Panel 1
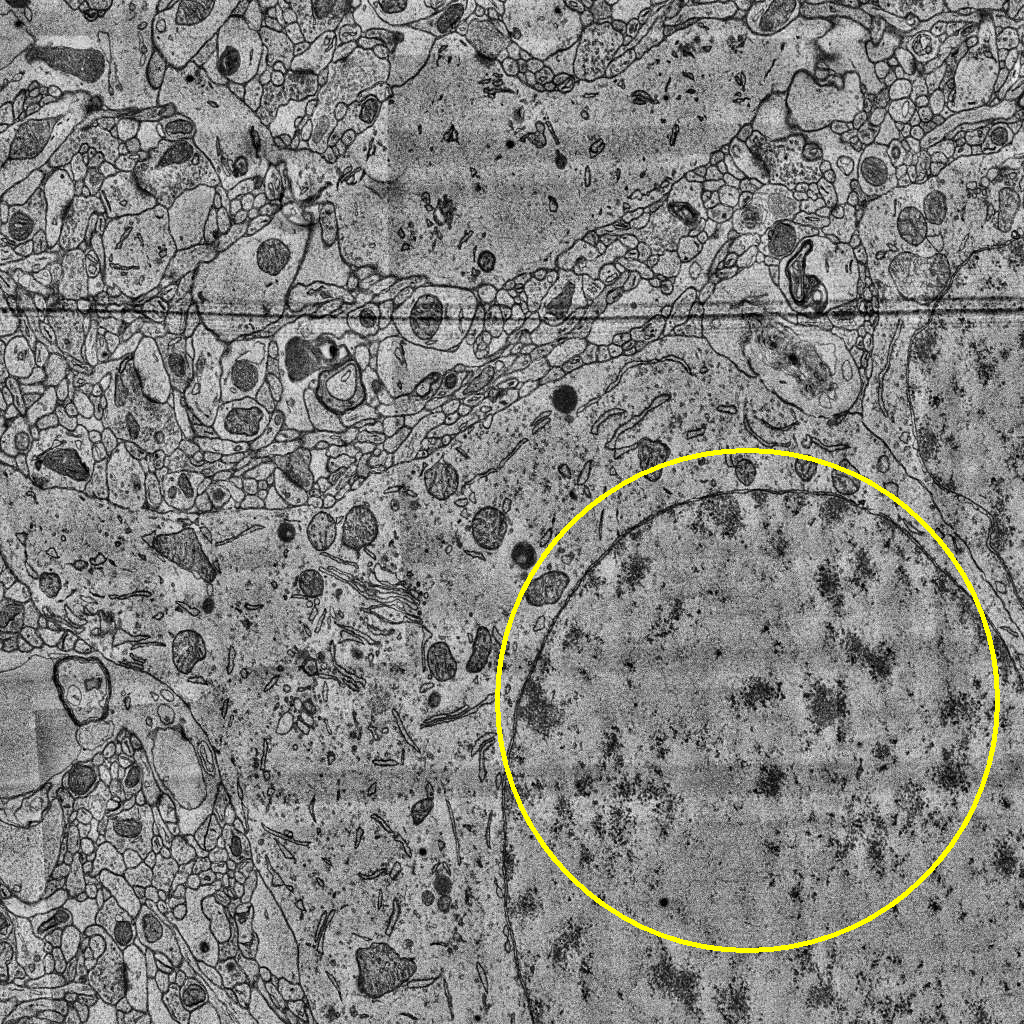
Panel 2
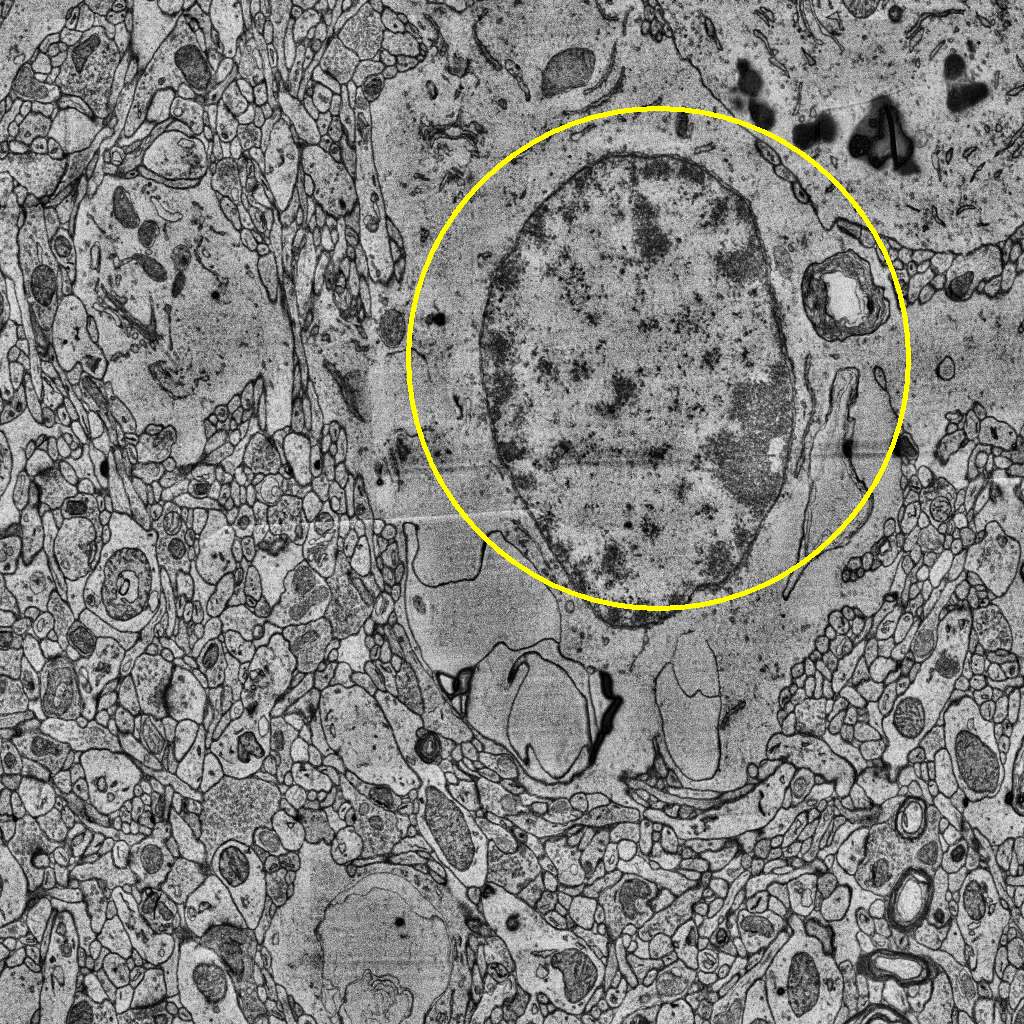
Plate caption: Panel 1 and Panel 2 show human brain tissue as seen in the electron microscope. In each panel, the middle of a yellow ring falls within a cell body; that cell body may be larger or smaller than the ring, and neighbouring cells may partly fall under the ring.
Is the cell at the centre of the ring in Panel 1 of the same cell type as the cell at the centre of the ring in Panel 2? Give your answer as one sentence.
No, the two cells are of two types.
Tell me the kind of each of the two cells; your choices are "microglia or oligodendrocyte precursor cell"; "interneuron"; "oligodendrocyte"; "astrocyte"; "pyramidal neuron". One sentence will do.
Here the first cell is a pyramidal neuron and the second cell is an astrocyte.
